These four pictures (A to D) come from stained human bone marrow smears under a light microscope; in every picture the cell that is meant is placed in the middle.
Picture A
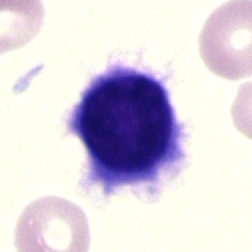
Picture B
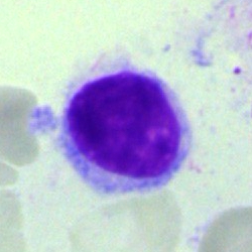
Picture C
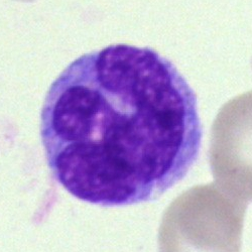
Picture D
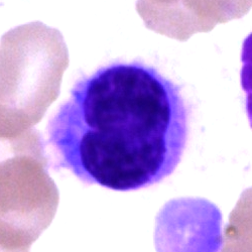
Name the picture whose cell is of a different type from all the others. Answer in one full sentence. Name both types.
Picture C differs, because its cell is a monocyte and the rest are hairy cells.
